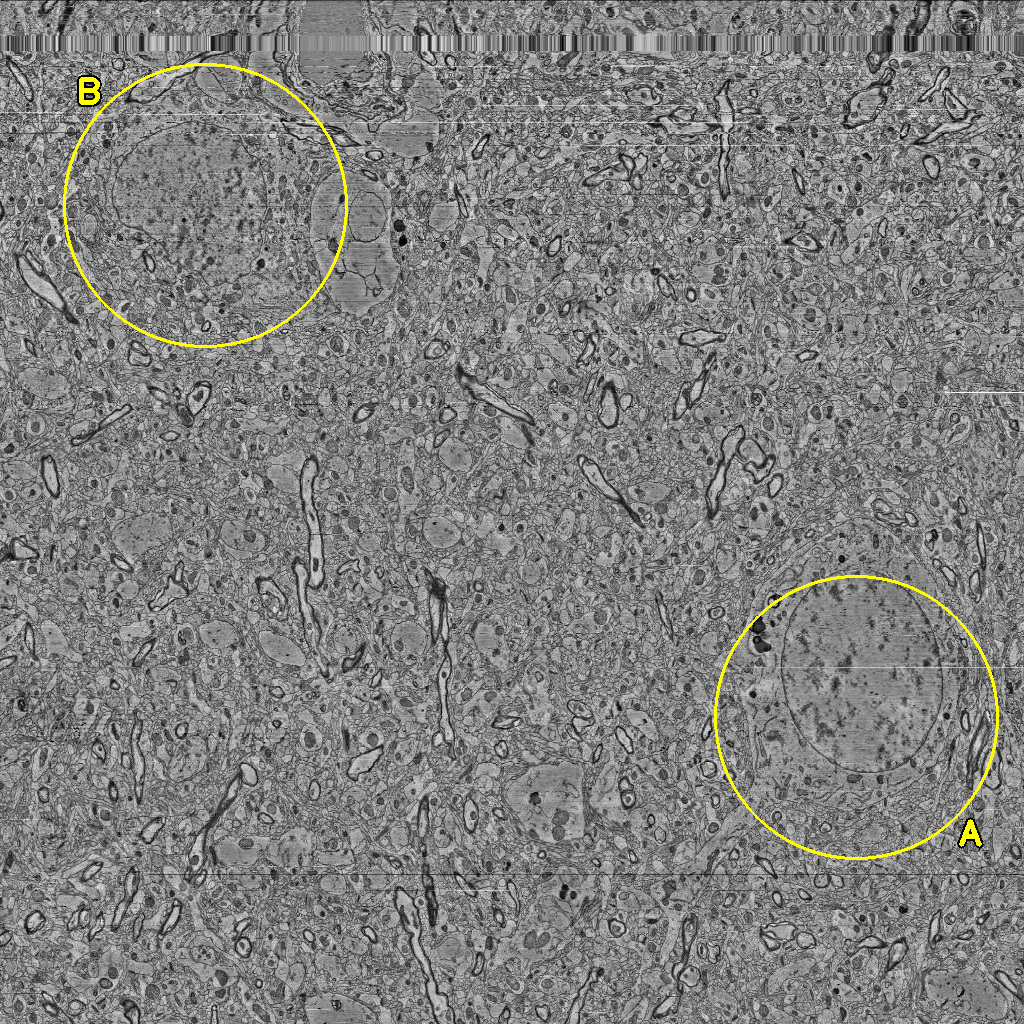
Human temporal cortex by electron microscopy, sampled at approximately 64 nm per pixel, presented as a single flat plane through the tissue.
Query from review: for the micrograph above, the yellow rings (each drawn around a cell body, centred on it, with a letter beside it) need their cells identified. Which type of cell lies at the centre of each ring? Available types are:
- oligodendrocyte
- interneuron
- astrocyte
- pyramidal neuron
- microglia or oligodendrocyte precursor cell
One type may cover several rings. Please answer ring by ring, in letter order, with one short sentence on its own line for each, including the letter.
Ring A is drawn around a pyramidal neuron.
Ring B is drawn around a pyramidal neuron.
